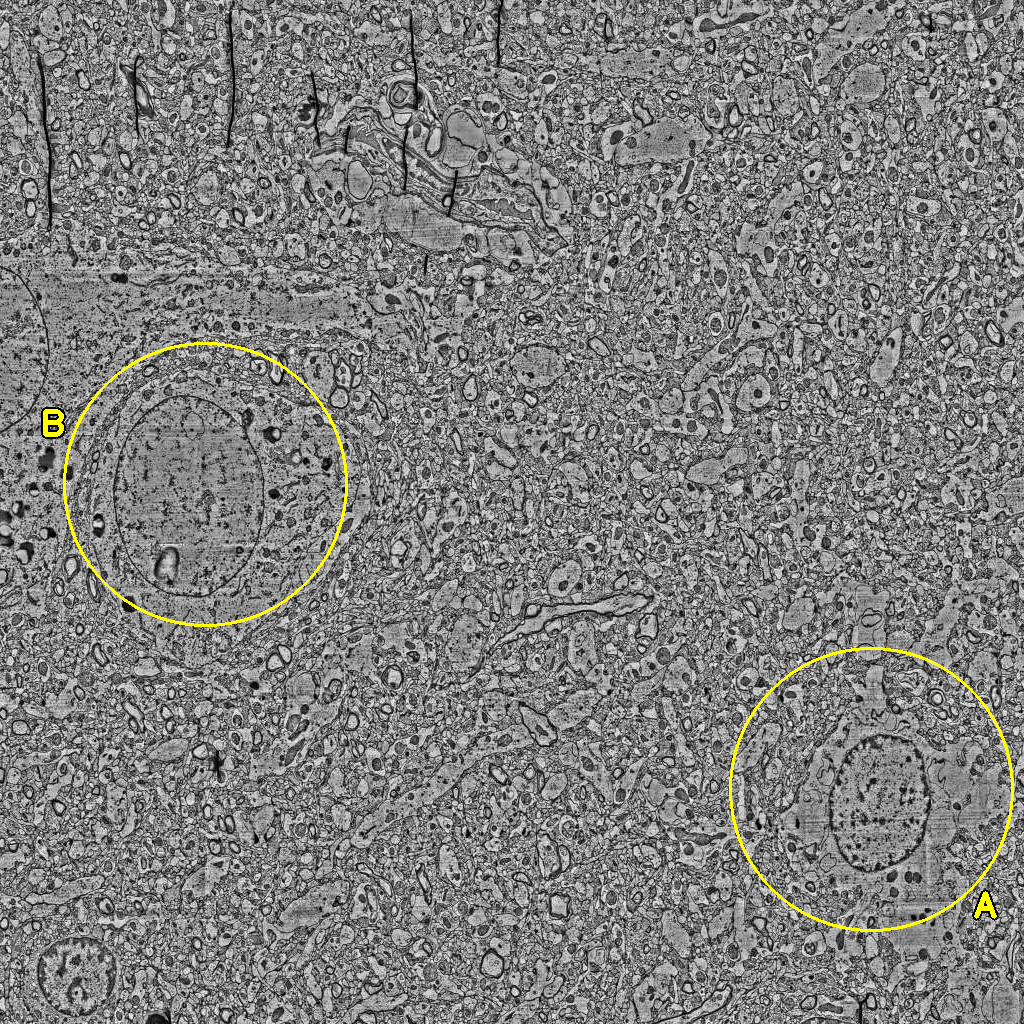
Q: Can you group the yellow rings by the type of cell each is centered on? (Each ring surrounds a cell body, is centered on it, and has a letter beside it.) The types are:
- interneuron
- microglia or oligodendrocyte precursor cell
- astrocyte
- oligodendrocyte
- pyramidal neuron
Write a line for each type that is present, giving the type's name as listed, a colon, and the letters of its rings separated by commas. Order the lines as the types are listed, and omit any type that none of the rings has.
astrocyte: A
pyramidal neuron: B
